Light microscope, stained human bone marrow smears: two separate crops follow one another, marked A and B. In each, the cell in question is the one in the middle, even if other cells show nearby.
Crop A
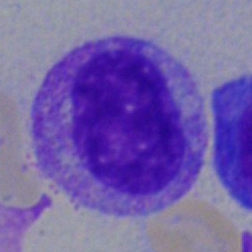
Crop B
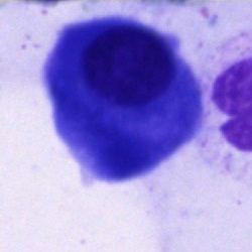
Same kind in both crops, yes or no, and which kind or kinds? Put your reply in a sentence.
No, the central cell of crop A is a myelocyte; that of crop B is a plasma cell.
